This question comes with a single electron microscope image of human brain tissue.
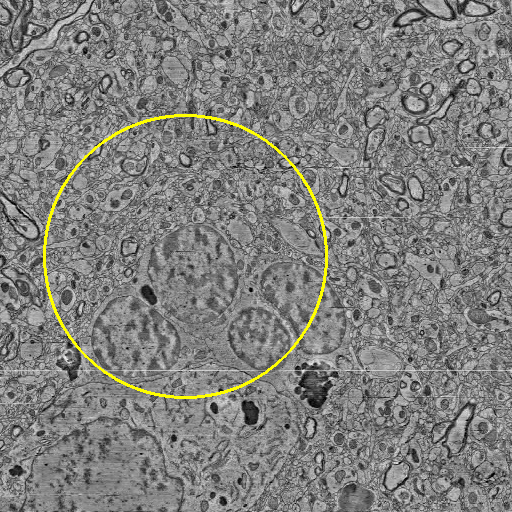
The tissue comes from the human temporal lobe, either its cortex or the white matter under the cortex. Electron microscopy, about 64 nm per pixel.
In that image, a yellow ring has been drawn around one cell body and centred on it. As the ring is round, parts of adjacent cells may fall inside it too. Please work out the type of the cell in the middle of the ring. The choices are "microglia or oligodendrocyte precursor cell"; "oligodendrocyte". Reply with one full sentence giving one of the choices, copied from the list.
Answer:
Of the choices, an oligodendrocyte is the cell sitting in the middle of the ring.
